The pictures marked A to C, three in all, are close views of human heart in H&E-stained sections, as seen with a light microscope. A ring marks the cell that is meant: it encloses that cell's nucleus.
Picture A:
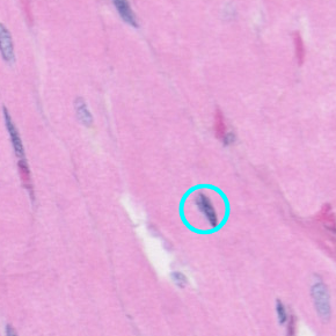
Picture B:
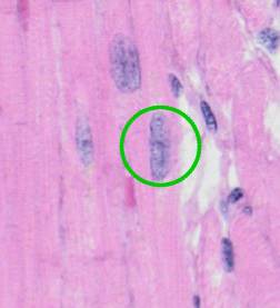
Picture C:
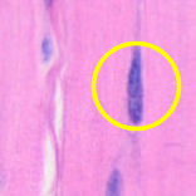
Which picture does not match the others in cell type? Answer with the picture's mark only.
B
